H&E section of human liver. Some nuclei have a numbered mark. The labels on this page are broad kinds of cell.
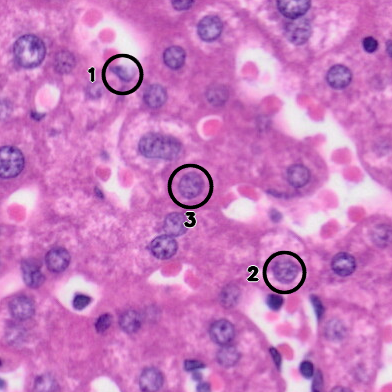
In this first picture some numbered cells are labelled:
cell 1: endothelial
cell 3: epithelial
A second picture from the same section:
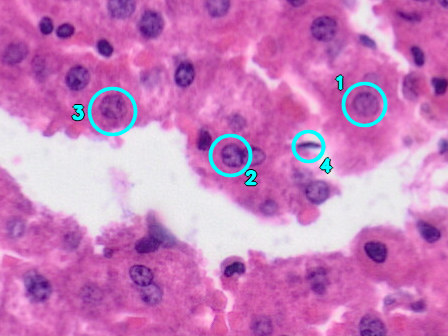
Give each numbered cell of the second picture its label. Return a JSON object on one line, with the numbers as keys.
{"1": "epithelial", "2": "epithelial", "3": "epithelial", "4": "endothelial"}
